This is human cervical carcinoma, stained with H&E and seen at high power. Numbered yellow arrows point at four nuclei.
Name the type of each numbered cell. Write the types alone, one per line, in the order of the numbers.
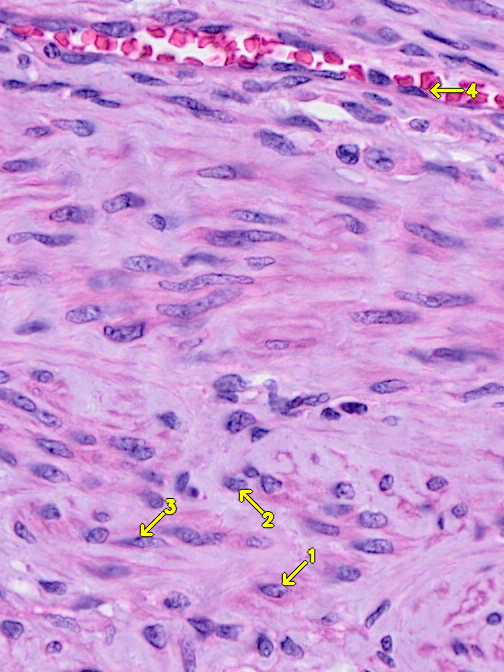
smooth muscle cell
smooth muscle cell
smooth muscle cell
endothelial cell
